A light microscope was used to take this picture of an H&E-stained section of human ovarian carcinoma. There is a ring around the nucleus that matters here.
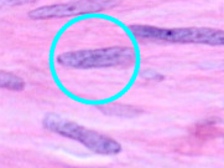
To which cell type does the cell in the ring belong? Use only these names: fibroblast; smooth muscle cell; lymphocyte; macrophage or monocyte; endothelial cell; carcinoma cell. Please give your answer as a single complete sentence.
For the purposes of cell typing, the cell in the ring is categorized as a smooth muscle cell.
